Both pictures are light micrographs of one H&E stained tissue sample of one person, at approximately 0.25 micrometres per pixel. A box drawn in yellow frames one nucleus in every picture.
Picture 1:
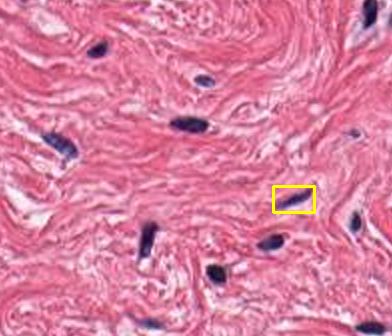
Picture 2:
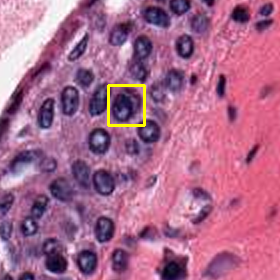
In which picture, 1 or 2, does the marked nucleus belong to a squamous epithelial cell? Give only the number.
2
